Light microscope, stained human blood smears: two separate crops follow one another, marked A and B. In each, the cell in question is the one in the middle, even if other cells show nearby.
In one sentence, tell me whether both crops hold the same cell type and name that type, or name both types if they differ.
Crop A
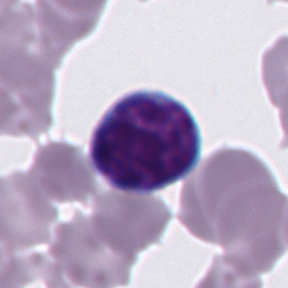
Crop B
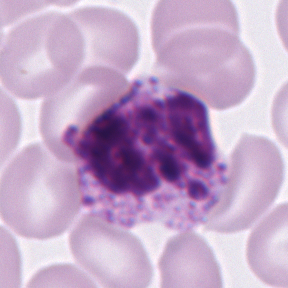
No, in crop B the central cell is a basophil, and in crop A it is a typical lymphocyte.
